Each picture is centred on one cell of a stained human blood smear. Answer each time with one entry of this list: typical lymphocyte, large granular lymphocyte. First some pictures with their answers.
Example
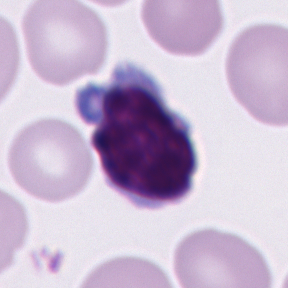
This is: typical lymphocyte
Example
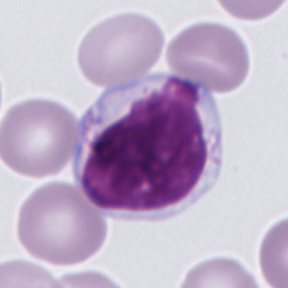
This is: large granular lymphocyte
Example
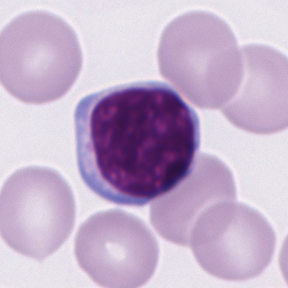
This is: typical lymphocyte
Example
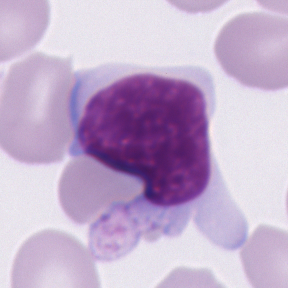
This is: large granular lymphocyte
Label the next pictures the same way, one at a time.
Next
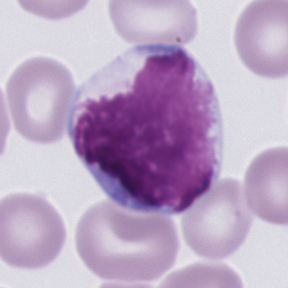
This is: large granular lymphocyte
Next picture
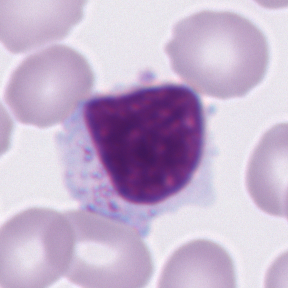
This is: large granular lymphocyte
